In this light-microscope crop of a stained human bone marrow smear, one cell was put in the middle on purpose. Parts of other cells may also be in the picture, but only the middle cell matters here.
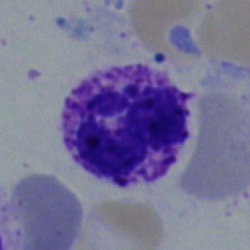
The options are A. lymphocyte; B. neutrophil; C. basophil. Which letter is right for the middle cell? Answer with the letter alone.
C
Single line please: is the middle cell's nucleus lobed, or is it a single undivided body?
The nucleus is divided into two or more distinct lobes.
